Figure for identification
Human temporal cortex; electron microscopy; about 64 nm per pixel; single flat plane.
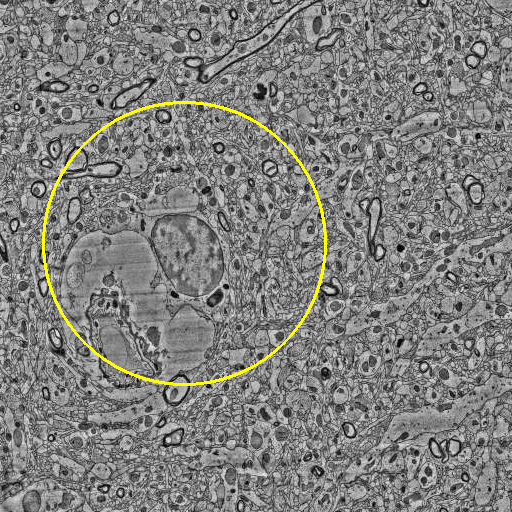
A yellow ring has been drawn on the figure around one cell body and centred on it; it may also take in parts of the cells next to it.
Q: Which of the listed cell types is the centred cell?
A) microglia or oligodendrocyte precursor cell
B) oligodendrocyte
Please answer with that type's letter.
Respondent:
A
